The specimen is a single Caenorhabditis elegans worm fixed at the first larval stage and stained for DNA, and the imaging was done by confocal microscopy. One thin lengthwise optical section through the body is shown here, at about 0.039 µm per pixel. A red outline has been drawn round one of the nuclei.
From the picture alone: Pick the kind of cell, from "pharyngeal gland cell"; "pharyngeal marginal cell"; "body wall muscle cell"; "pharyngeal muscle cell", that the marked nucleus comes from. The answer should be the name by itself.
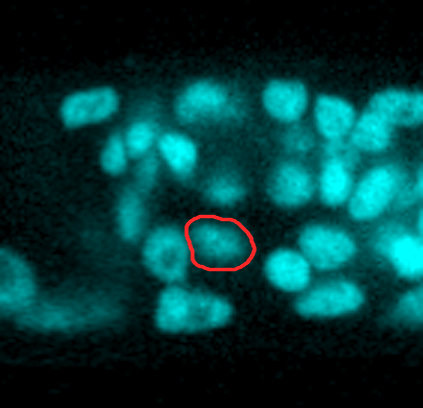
pharyngeal marginal cell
